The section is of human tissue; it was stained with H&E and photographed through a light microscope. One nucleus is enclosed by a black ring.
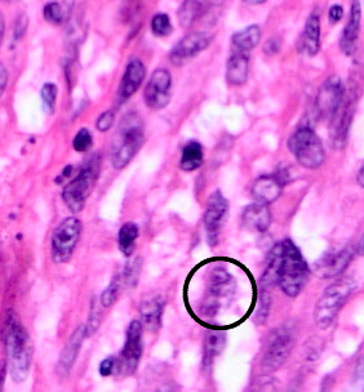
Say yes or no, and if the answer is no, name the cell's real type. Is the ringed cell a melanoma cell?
Yes.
